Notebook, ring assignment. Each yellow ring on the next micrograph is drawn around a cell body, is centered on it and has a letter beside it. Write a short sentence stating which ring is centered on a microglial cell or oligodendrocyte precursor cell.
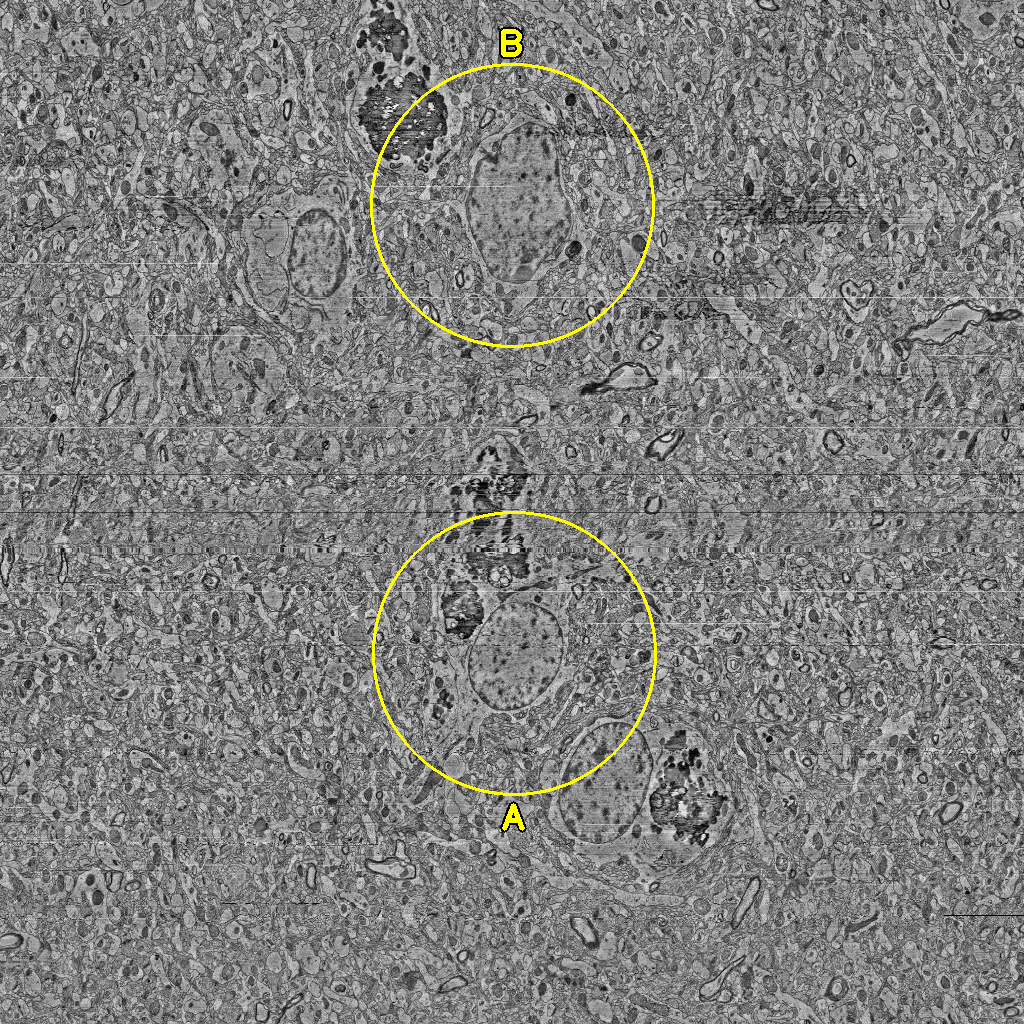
Ring B is centered on it.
